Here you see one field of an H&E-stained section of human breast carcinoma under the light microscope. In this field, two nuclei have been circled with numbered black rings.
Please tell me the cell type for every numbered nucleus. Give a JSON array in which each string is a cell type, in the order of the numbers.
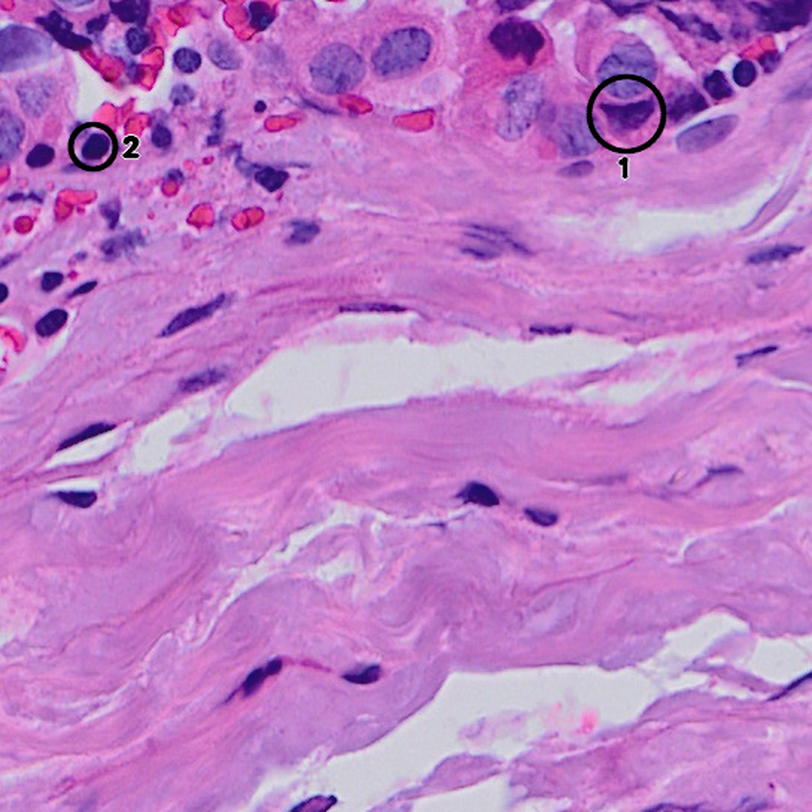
["carcinoma cell", "lymphocyte"]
